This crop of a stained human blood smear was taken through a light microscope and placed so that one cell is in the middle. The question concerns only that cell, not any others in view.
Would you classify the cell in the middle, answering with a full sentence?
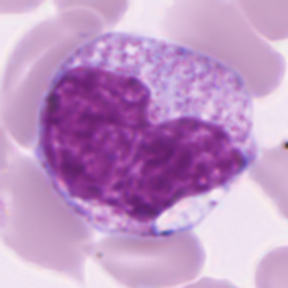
Classification of the middle cell gives a myelocyte.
